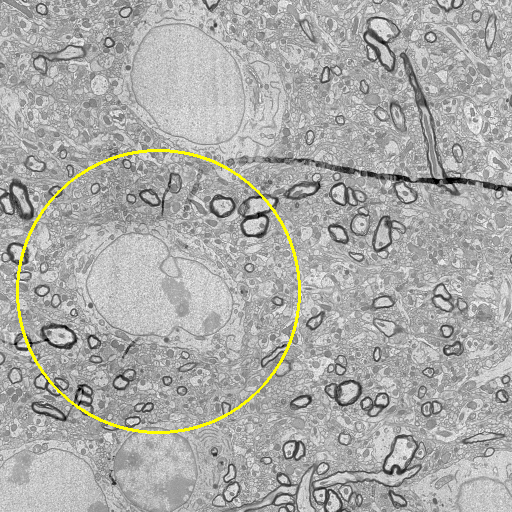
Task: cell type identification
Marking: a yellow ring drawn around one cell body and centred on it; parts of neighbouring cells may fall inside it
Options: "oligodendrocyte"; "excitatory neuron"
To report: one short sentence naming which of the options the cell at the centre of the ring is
The cell at the centre of the ring is an excitatory neuron.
